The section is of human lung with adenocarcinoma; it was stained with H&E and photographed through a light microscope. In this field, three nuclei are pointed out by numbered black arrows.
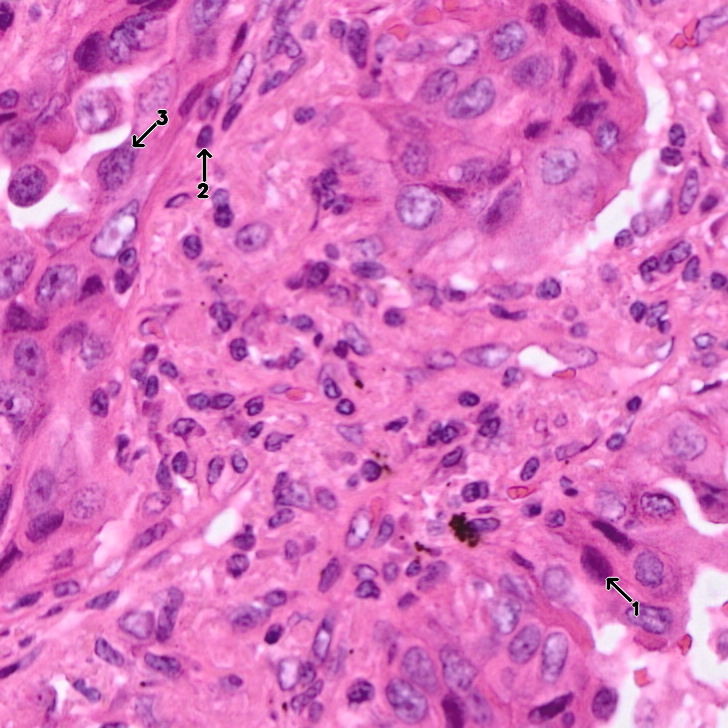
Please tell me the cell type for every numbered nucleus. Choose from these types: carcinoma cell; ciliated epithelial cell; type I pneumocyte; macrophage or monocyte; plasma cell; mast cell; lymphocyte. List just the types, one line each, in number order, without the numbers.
carcinoma cell
lymphocyte
carcinoma cell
